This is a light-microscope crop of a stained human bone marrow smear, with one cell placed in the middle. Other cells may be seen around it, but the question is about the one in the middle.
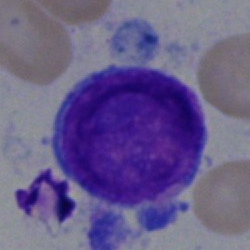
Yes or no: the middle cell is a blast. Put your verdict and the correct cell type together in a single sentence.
Yes, the cell positioned at the centre of the crop is a blast.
